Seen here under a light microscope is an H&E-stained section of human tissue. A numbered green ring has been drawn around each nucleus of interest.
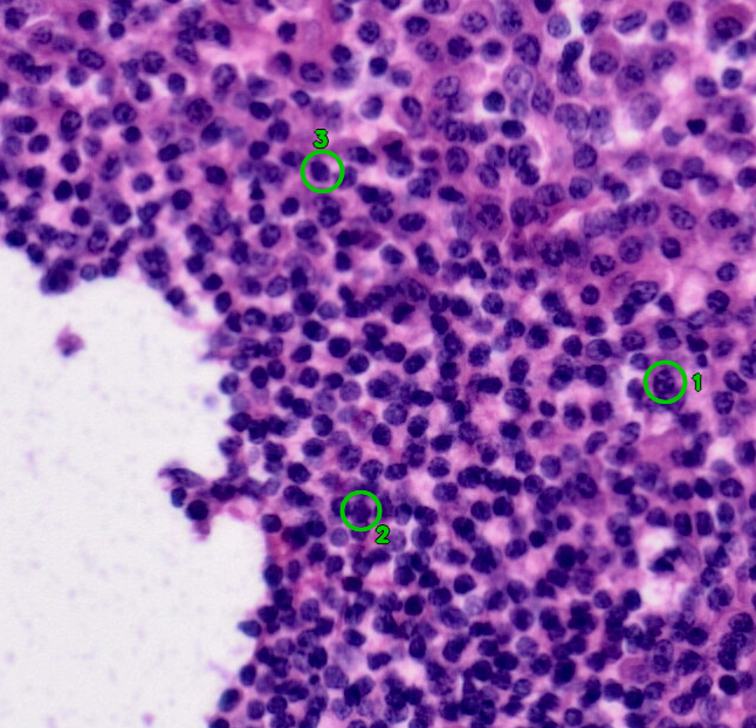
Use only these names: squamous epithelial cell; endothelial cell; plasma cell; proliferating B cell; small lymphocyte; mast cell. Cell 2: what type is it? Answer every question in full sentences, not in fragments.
The label 2 in this section denotes a small lymphocyte.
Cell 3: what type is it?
It is as a plasma cell that the cell numbered 3 is identified.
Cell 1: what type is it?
The correct label for cell 1 is a plasma cell.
